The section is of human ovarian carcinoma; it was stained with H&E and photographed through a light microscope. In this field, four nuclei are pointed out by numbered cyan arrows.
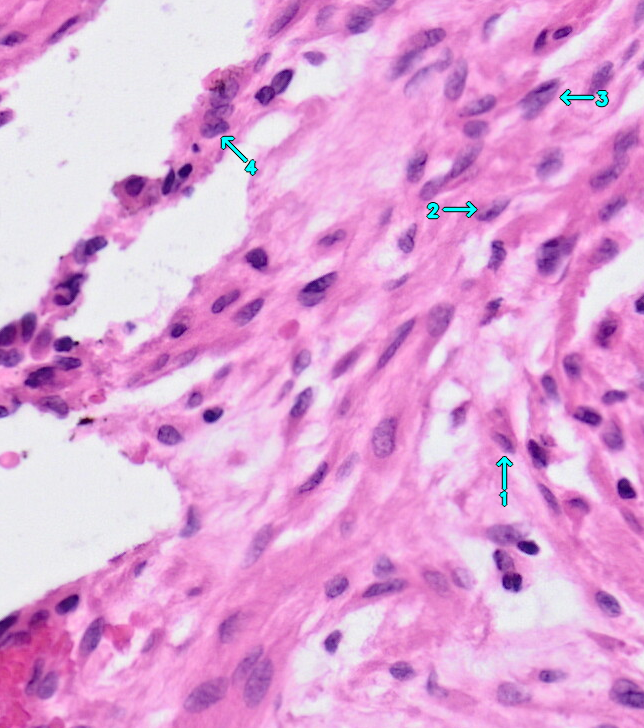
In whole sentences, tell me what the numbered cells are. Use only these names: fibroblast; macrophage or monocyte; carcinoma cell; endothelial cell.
Cell 1 is a fibroblast, cell 2 is a fibroblast, cell 3 is a fibroblast and cell 4 is a macrophage or monocyte.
